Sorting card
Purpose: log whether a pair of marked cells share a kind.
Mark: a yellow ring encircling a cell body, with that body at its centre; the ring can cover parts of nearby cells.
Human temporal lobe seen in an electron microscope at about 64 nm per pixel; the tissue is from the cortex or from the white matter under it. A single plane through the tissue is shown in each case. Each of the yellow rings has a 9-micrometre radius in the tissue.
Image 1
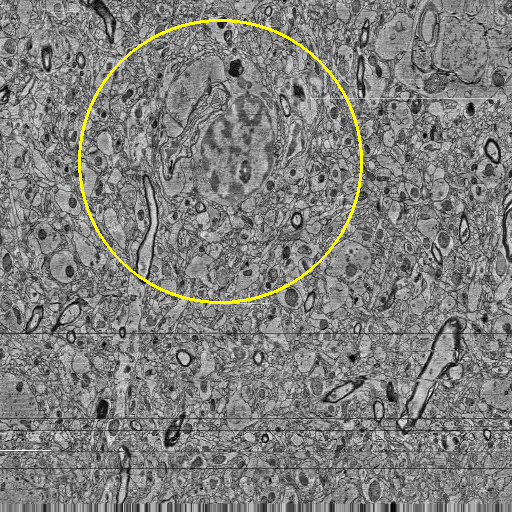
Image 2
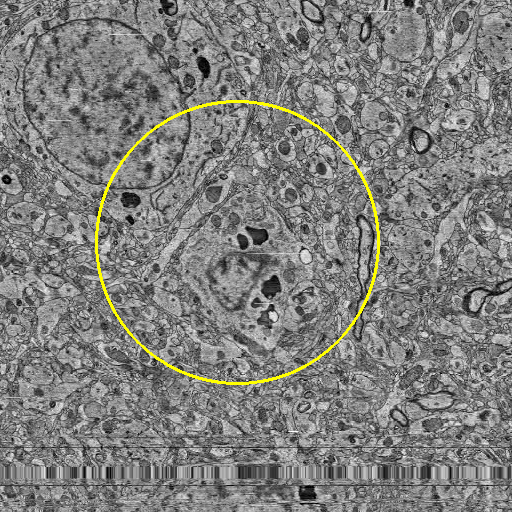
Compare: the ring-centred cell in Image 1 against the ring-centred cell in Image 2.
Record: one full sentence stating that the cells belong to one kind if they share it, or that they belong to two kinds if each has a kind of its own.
Across Images 1 and 2, the two ring-centred cells belong to two kinds.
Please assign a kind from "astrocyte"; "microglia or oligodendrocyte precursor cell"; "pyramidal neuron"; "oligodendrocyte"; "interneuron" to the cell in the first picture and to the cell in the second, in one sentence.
In the first picture we have an oligodendrocyte, and in the second, an interneuron.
